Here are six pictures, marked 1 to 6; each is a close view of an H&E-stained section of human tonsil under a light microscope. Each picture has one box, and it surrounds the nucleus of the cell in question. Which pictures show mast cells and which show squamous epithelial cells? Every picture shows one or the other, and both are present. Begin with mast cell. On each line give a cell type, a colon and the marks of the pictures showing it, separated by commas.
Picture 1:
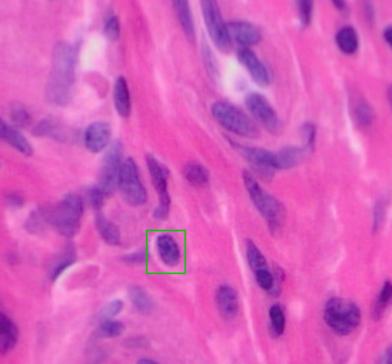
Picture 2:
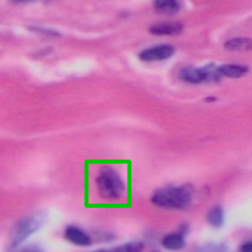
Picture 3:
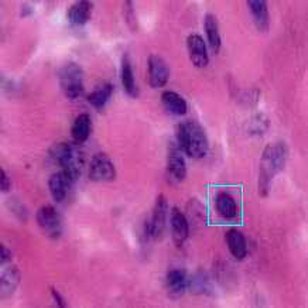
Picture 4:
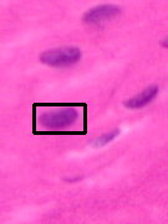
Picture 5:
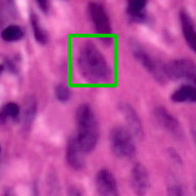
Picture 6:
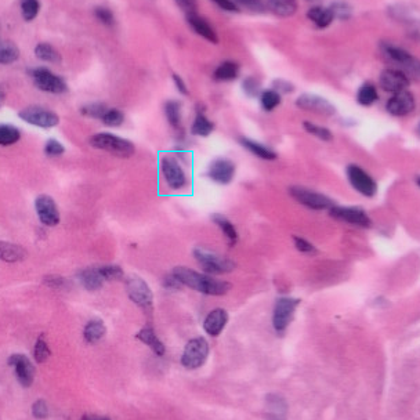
mast cell: 1, 2, 3, 6
squamous epithelial cell: 4, 5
